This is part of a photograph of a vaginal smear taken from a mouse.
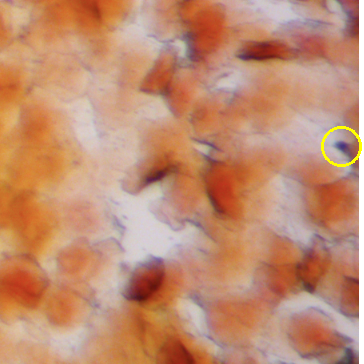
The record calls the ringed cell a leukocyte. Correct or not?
Correct; it is a leukocyte.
